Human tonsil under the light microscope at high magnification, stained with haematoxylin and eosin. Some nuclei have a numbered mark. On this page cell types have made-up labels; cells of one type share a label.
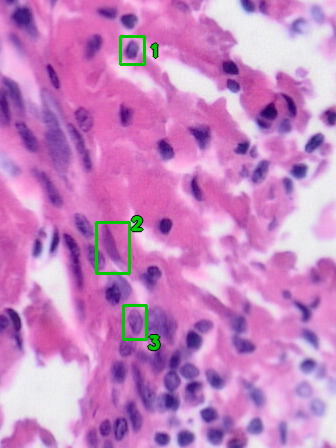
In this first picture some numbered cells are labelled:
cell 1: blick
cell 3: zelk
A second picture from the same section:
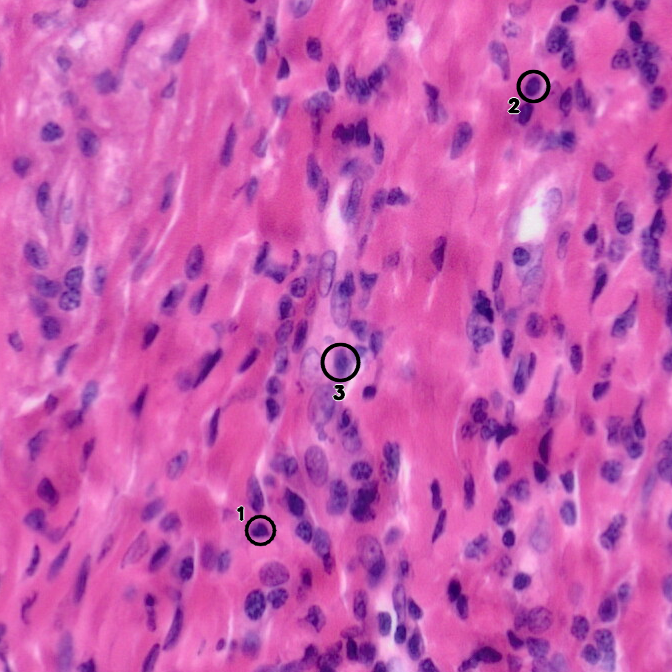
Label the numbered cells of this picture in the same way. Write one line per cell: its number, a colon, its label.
1: blick
2: blick
3: zelk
